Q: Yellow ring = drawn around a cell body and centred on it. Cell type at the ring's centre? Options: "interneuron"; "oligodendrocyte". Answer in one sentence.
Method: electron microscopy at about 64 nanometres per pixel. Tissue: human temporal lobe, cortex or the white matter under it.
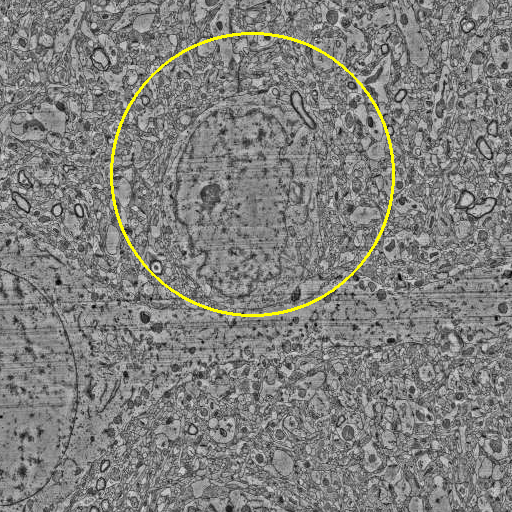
Centred in the ring is an interneuron.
